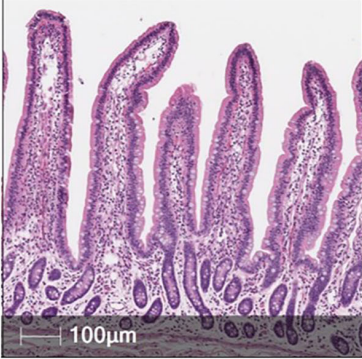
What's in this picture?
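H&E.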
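This is small intestinal mucosa with tall, finger-like villi, each covered by a single continuous layer of columnar epithelial cells whose dark purple nuclei sit in a row near the base and whose cytoplasm stains pink. The core of each villus is paler connective tissue with scattered small dark nuclei. At the bottom, between the villus bases, the crypts are cut across as small rounded or oval tubes lined by the same darkly staining cells. Beneath them lies a thin band of pink muscle and connective tissue.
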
